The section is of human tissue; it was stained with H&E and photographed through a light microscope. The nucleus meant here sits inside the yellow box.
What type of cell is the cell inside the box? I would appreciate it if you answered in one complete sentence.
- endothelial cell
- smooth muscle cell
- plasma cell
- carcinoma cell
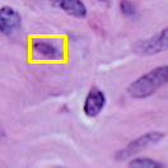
Assigned to a cell type, the cell inside the box is a smooth muscle cell.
